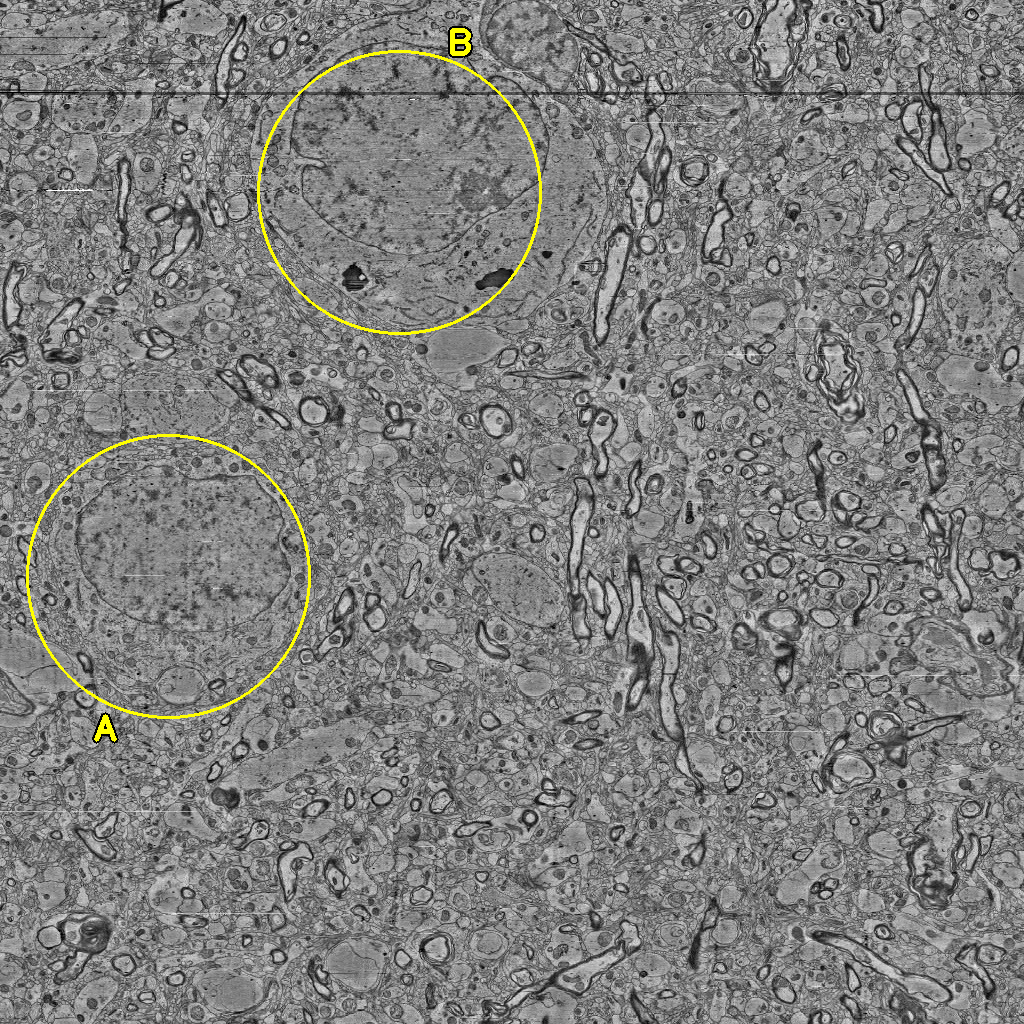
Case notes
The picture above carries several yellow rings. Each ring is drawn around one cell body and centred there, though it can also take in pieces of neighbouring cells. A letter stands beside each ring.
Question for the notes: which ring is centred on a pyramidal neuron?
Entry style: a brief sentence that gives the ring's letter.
Ring B is centred on it.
